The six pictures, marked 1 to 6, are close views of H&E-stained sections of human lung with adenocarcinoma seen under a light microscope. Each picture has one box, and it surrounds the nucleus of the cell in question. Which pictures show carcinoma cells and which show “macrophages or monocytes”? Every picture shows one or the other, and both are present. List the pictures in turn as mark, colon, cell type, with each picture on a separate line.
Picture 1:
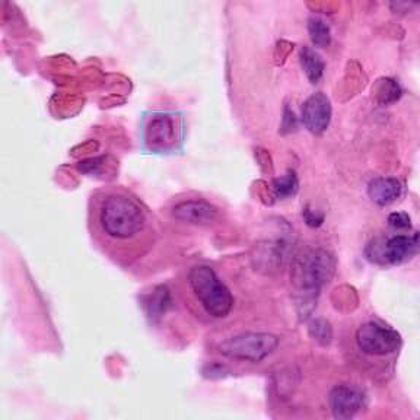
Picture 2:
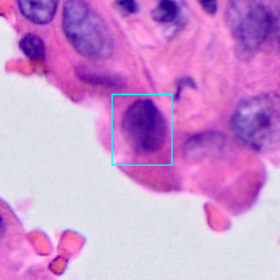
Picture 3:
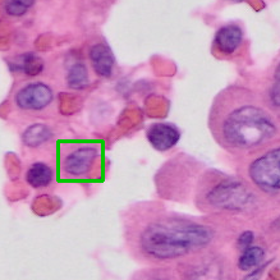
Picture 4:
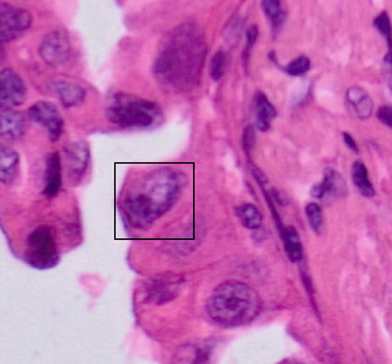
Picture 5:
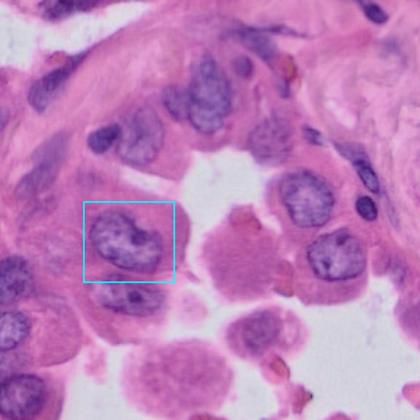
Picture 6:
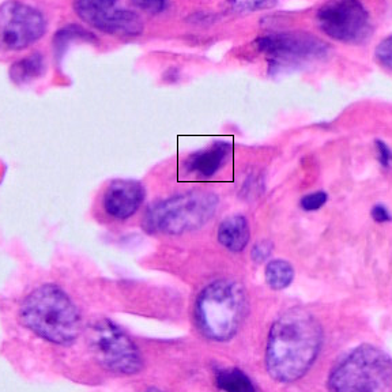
1: macrophage or monocyte
2: carcinoma cell
3: macrophage or monocyte
4: carcinoma cell
5: carcinoma cell
6: carcinoma cell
